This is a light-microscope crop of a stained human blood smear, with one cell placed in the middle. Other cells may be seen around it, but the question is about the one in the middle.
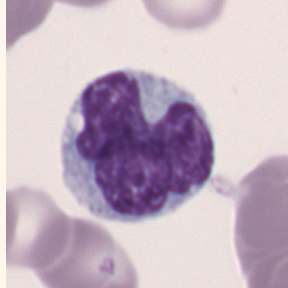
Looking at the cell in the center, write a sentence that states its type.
In short, the cell at the center is a monocyte.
